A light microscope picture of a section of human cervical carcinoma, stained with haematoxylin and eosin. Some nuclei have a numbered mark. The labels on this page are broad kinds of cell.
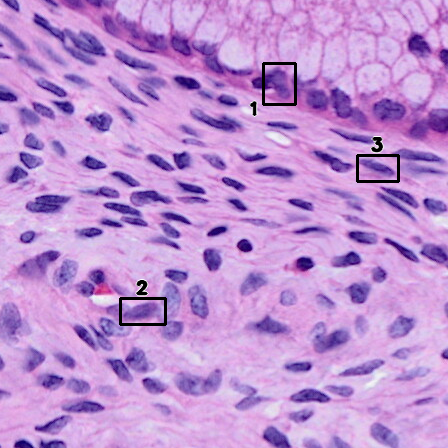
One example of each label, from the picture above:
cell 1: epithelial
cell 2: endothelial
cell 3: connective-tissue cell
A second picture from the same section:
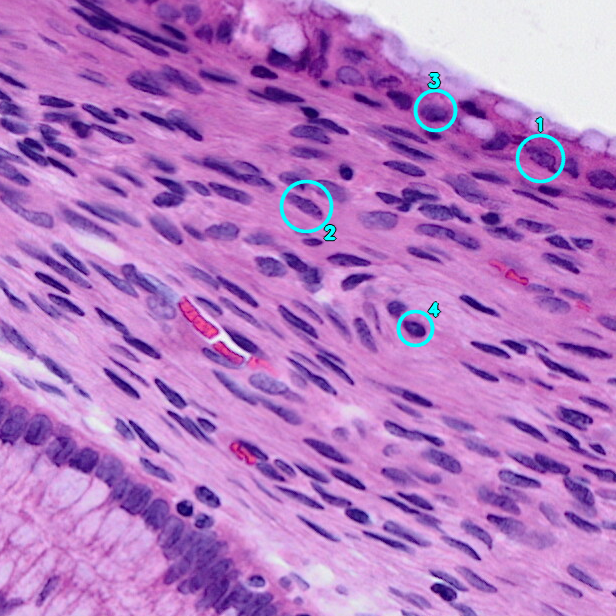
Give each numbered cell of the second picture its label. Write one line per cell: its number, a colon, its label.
1: epithelial
2: connective-tissue cell
3: epithelial
4: endothelial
